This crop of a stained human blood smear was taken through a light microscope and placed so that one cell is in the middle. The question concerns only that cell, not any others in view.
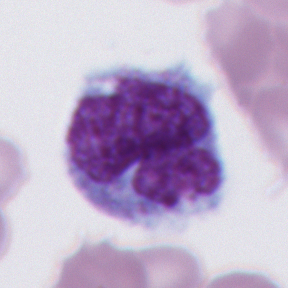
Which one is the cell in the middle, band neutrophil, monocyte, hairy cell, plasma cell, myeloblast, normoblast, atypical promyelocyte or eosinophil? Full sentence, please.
The central cell shown in this smear crop is a monocyte.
